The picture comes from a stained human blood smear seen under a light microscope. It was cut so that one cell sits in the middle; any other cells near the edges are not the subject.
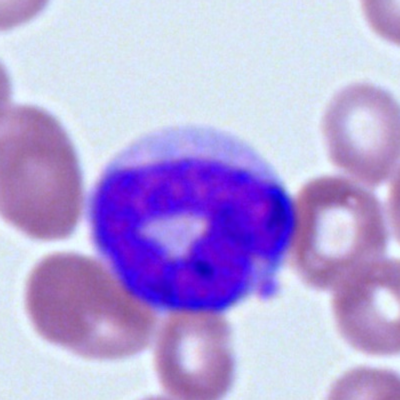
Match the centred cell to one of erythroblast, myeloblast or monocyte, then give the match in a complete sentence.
The centrally located cell in the crop is a monocyte.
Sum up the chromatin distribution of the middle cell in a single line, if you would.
Its nuclear chromatin is gathered into coarse clumps.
